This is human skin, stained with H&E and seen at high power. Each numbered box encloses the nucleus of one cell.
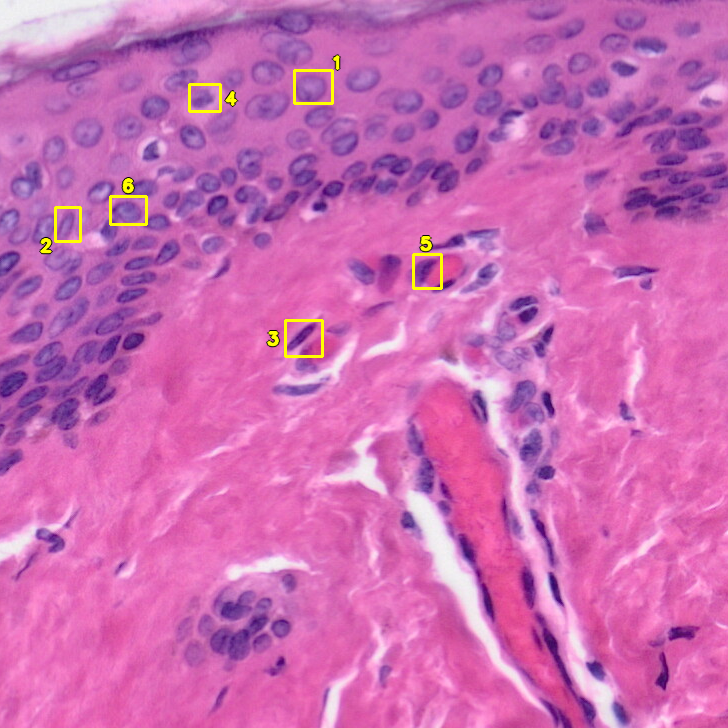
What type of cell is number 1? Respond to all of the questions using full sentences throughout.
The one labeled 1 is a suprabasal keratinocyte, to put it simply.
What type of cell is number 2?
The one labeled 2 is a suprabasal keratinocyte, to put it simply.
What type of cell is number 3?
Heads up, the cell numbered 3 is a fibroblast.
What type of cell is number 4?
Among the marked nuclei, number 4 belongs to a suprabasal keratinocyte.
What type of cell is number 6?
Here the cell numbered 6 is a suprabasal keratinocyte.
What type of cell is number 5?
Cell 5 of the marked set is an endothelial cell.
